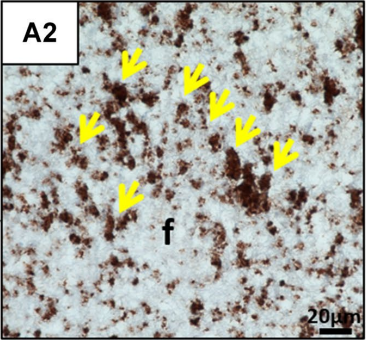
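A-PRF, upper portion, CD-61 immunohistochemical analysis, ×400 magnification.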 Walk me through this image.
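A pale, finely granular fibrin meshwork fills the background. Numerous small brown-stained granular particles lie dispersed throughout it. In places these gather into larger dark brown irregular clumps of aggregated platelets. No nucleated cells are evident in the field.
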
